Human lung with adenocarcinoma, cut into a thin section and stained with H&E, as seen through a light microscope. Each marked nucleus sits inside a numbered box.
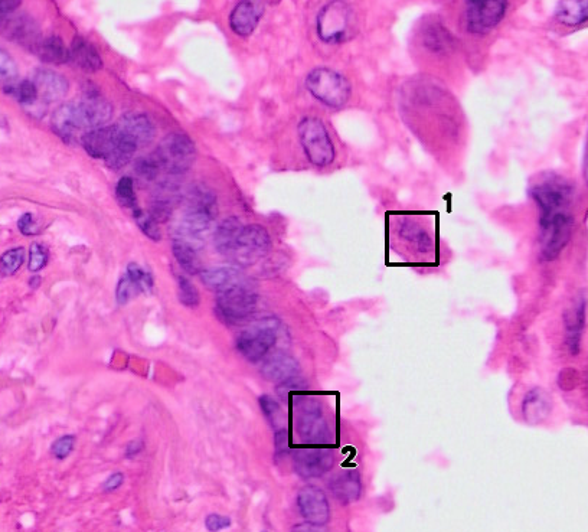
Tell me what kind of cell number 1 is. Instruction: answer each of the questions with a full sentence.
The cell marked with number 1 is a macrophage or monocyte.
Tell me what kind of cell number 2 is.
The cell carrying label 2 is identified as a ciliated epithelial cell.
